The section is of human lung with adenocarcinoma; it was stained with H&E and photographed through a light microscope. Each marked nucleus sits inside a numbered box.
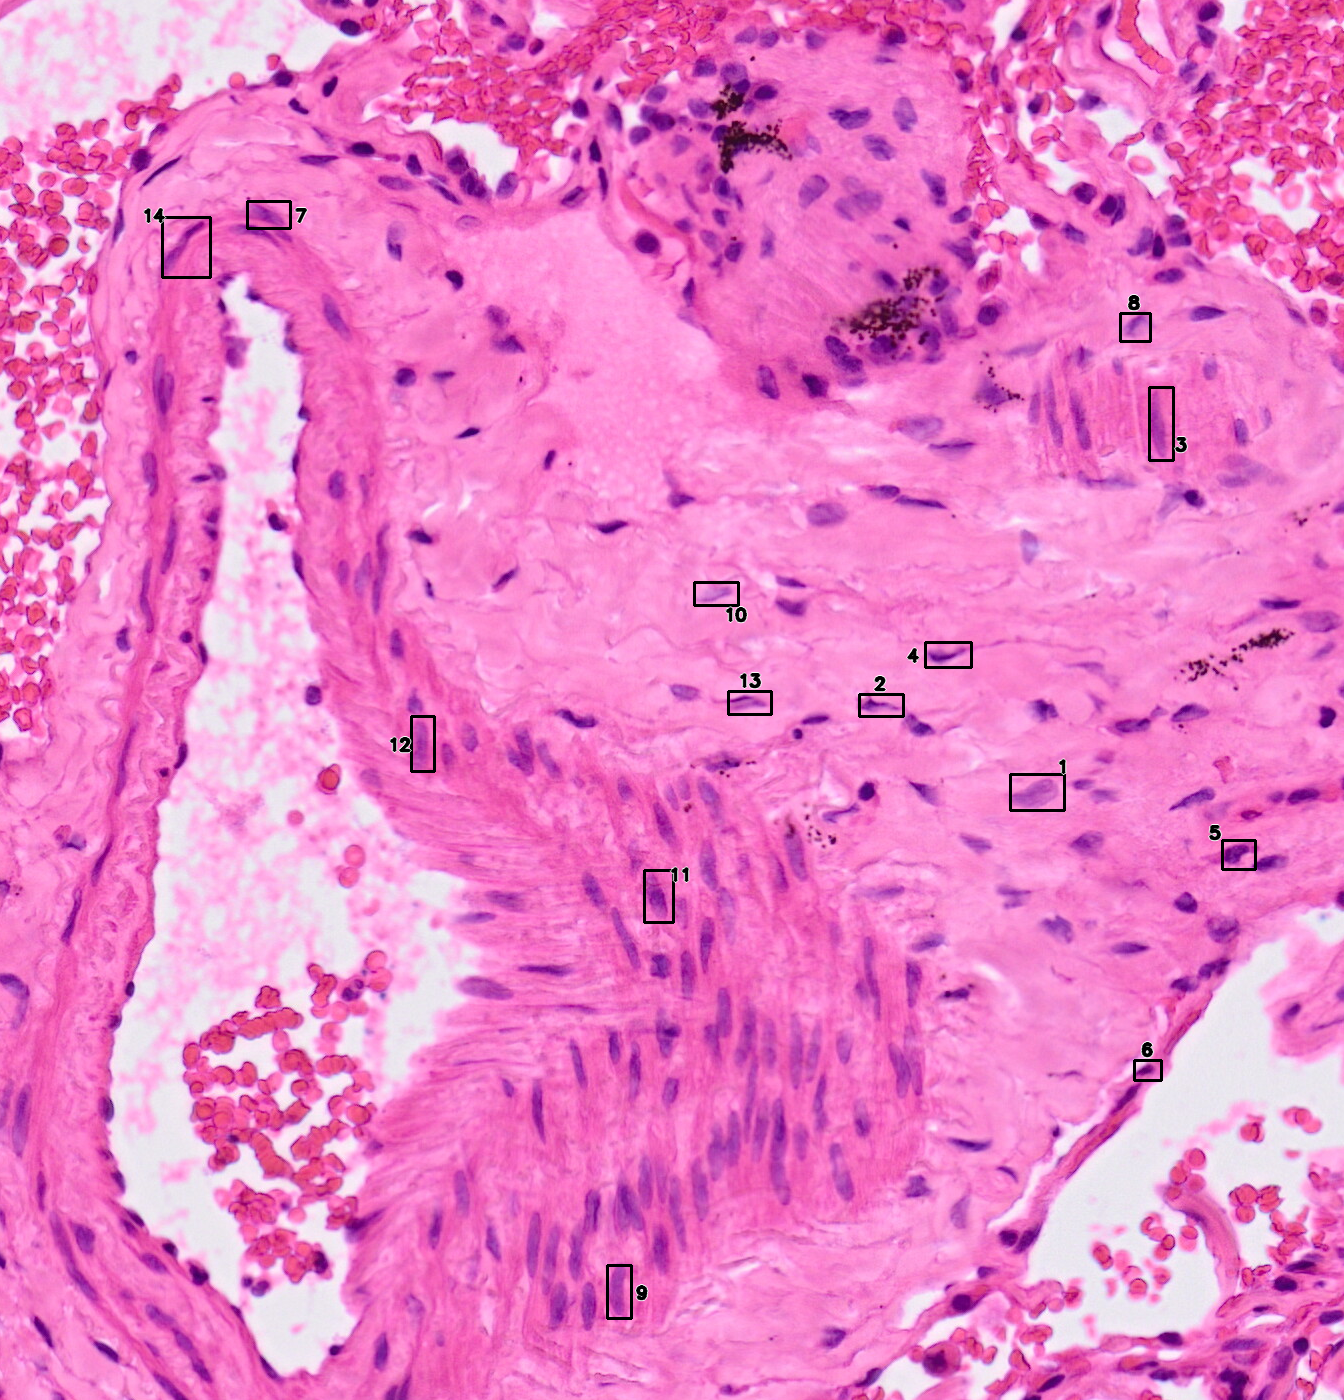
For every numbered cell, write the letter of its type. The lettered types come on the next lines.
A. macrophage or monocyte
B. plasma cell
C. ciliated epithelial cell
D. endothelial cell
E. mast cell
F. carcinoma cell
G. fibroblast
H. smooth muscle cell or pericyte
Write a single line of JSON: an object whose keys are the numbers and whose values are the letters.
{"1": "G", "2": "G", "3": "H", "4": "G", "5": "B", "6": "D", "7": "H", "8": "G", "9": "H", "10": "G", "11": "H", "12": "H", "13": "G", "14": "H"}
